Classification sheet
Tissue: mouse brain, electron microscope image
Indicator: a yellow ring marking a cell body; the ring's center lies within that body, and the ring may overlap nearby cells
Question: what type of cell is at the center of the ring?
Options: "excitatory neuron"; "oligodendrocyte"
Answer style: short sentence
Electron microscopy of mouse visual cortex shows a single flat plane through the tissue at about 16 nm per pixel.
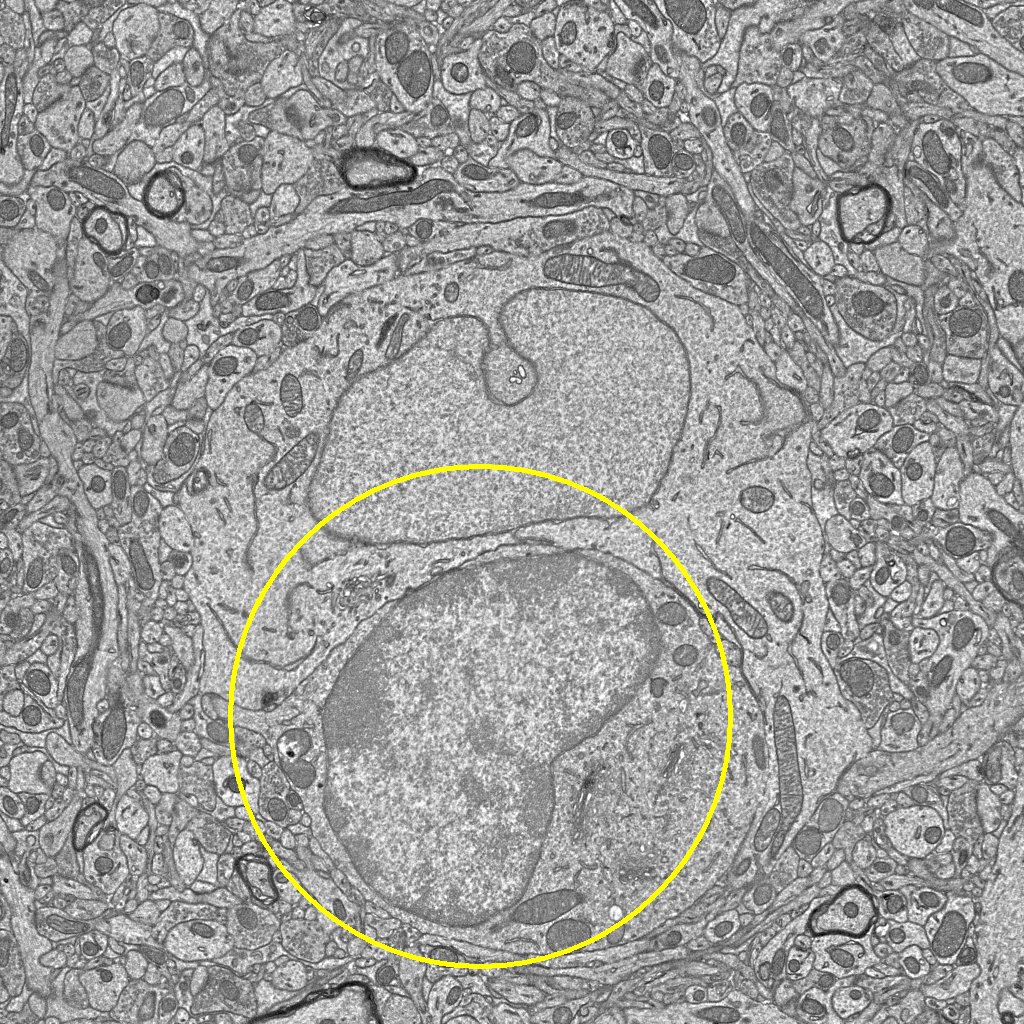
At the ring's center is an oligodendrocyte.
